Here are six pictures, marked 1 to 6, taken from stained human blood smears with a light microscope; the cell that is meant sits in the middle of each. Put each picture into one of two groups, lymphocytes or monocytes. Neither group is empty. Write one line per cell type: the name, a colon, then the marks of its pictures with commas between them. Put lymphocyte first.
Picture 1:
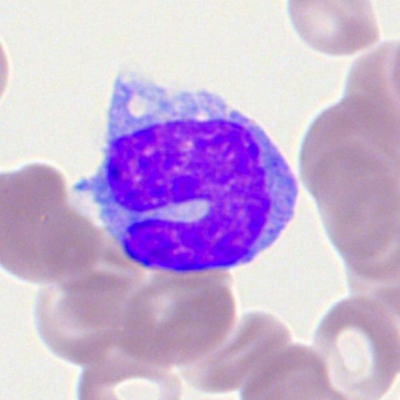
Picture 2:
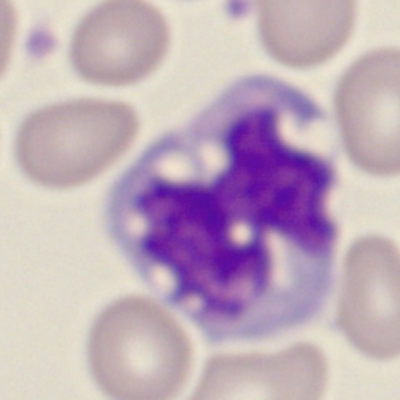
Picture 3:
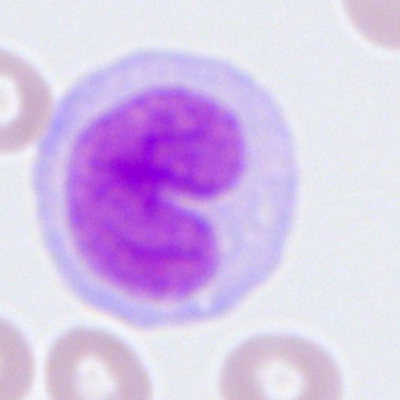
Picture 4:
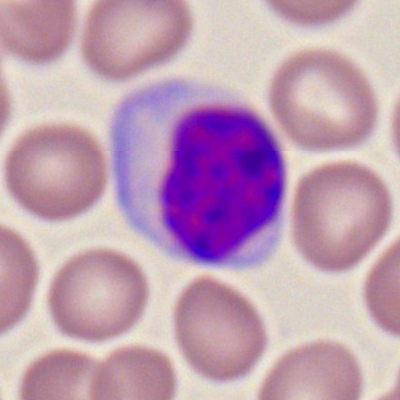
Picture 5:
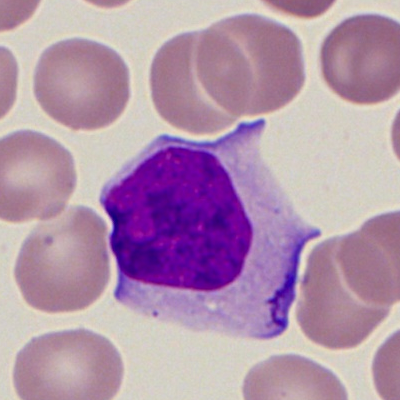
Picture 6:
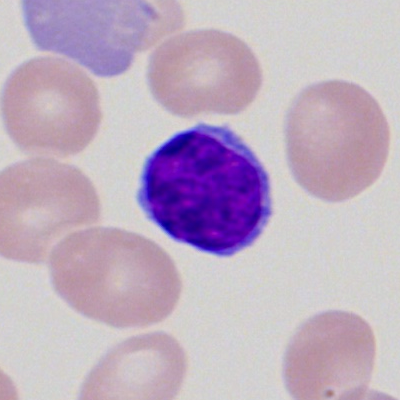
lymphocyte: 4, 5, 6
monocyte: 1, 2, 3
